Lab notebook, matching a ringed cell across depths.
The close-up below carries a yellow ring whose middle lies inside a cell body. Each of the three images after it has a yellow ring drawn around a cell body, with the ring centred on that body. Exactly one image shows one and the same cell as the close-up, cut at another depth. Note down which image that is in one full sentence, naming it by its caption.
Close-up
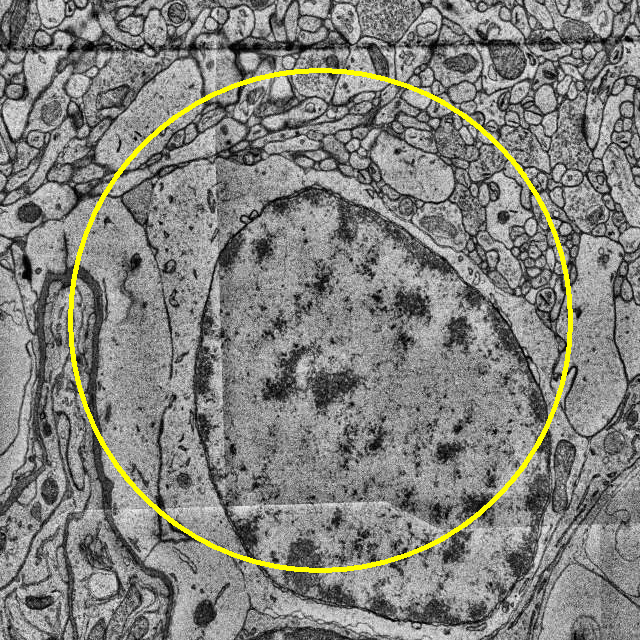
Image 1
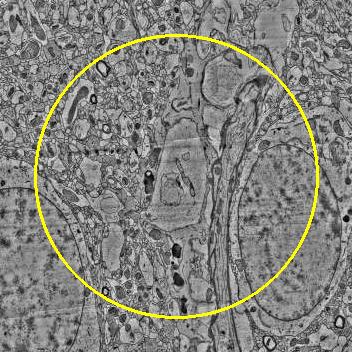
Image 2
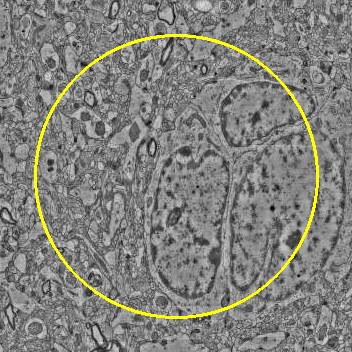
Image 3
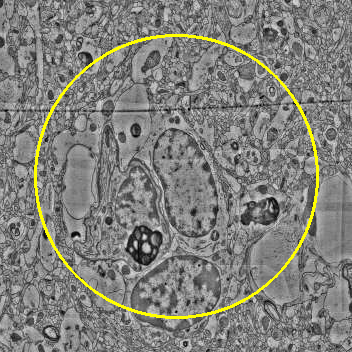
The close-up cell is the one indicated by the ring in Image 3.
